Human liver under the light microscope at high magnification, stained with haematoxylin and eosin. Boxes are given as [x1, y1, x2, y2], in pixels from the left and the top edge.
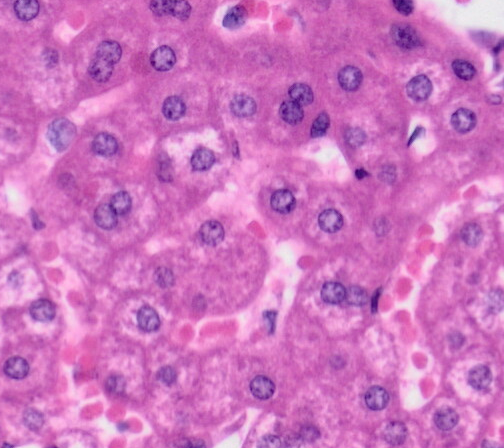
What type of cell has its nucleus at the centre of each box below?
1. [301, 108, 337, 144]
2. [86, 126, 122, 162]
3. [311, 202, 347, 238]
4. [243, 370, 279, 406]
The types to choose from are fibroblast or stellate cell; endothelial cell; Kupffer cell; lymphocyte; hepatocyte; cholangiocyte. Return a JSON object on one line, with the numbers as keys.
{"1": "fibroblast or stellate cell", "2": "hepatocyte", "3": "hepatocyte", "4": "hepatocyte"}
